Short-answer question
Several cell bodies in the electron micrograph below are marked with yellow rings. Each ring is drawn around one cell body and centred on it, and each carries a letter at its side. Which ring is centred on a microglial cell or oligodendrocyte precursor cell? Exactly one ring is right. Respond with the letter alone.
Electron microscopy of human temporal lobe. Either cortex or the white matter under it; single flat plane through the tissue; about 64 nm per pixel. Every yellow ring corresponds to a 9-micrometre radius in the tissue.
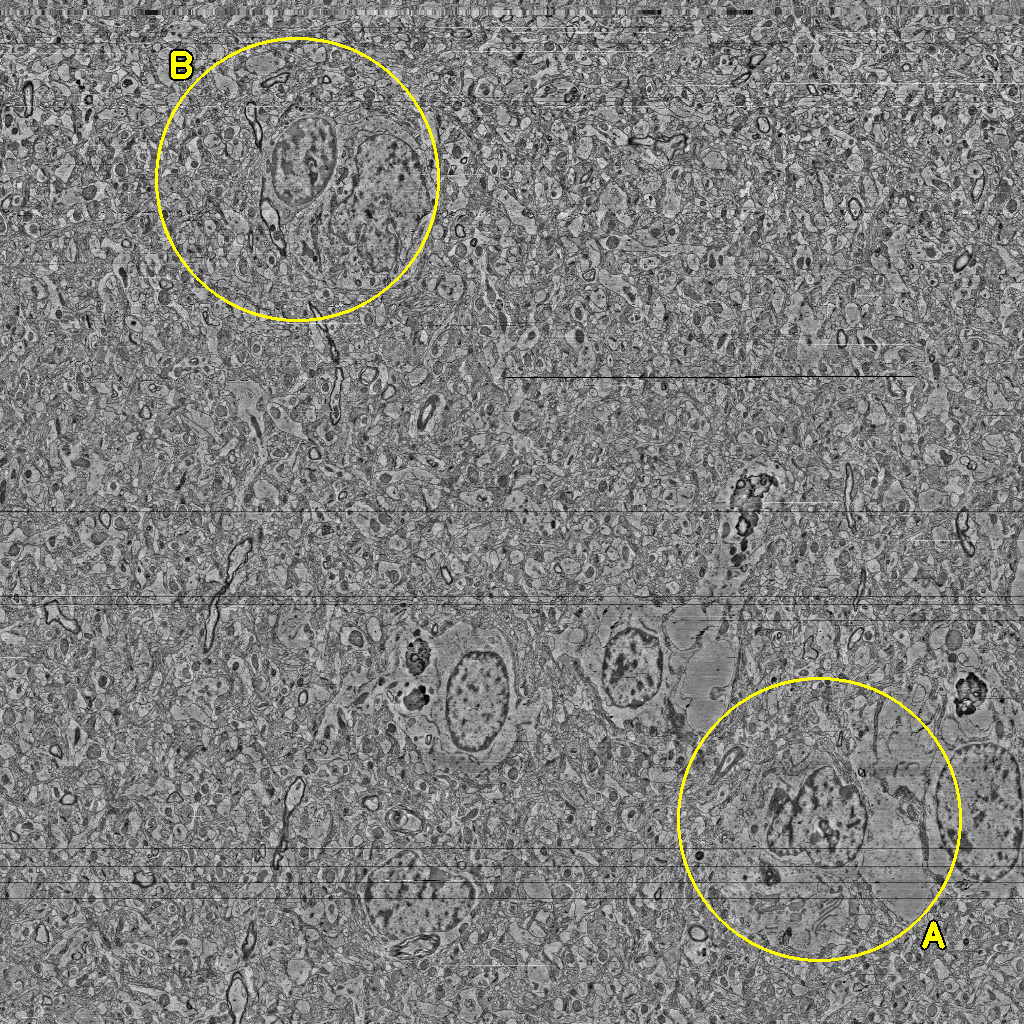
A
